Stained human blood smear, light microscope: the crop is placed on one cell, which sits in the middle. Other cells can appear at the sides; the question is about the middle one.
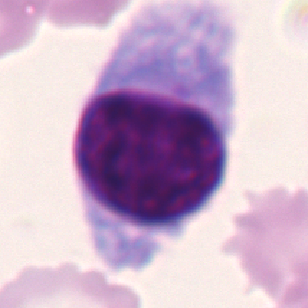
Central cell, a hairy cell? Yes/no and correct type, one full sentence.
Yes, at the centre of the crop lies a hairy cell.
